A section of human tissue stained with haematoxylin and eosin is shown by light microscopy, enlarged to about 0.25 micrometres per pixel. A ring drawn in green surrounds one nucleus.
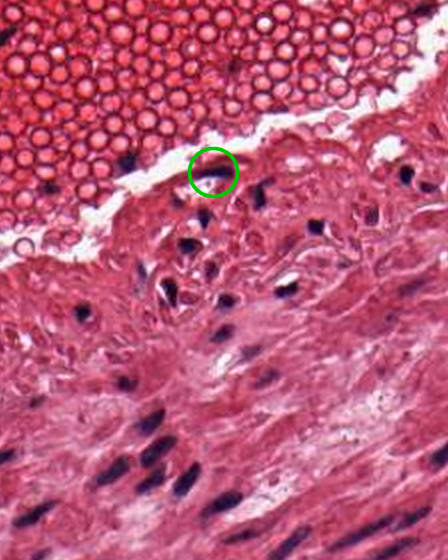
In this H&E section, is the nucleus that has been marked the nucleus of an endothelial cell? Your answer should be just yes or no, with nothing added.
yes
